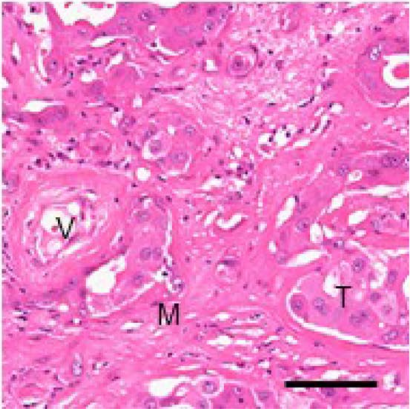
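Tumor tissue with irregular nests of cancer cells set in dense pink fibrous stroma, beside a vessel with a thick, concentrically layered wall. The cancer cells are large with abundant pink cytoplasm and round nuclei, and the stroma between them holds scattered small cells with dark, elongated nuclei.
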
